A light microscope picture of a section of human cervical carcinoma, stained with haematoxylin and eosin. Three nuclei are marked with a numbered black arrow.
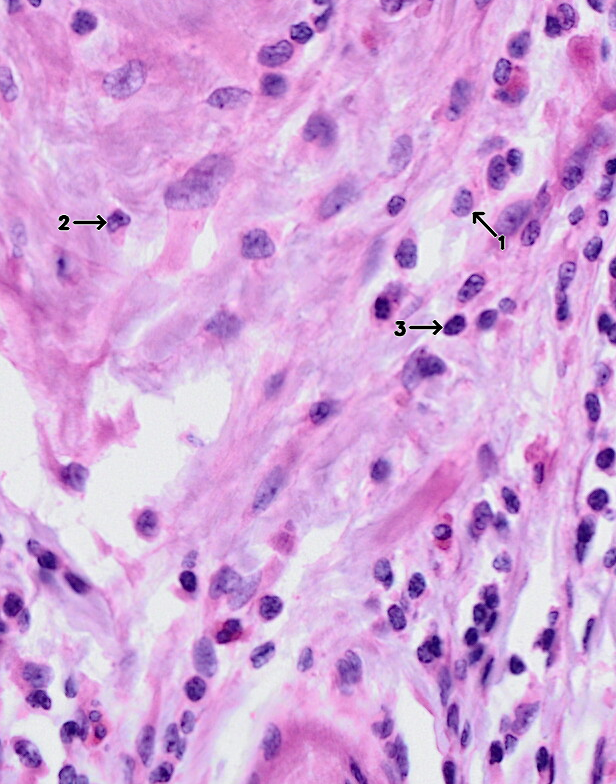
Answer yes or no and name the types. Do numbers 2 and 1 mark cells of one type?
Yes, both are macrophages or monocytes.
